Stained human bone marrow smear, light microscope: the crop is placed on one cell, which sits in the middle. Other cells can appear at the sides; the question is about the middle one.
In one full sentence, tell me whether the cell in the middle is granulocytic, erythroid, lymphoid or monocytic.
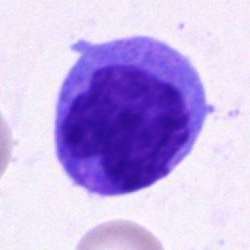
The lineage to which the central cell belongs is monocytic.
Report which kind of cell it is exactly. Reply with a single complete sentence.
Of the cells in this crop, the central one is a monocyte.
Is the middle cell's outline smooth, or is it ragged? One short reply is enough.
The cell shows an uneven border, formed by ragged areas or by outward projections.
